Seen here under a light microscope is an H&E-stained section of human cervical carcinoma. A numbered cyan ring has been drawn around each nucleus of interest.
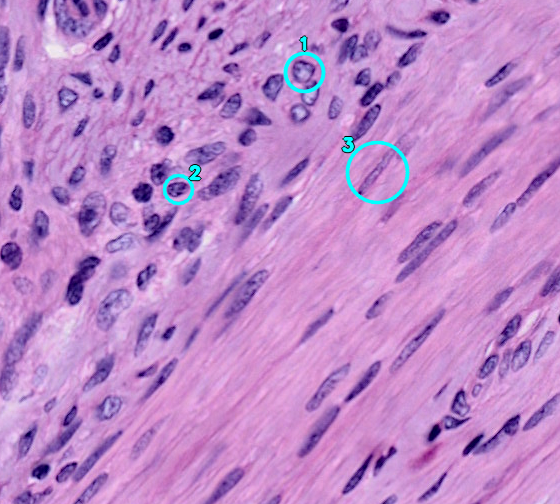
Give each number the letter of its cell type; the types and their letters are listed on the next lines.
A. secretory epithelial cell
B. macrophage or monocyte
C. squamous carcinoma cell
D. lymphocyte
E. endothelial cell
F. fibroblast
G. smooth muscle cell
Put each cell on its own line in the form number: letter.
1: E
2: D
3: G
